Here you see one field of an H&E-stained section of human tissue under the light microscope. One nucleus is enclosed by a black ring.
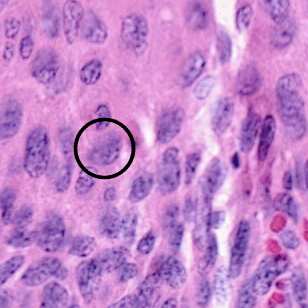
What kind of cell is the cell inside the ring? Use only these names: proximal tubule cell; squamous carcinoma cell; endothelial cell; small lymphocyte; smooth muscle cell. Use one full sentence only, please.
Just put down that the cell inside the ring is a squamous carcinoma cell.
